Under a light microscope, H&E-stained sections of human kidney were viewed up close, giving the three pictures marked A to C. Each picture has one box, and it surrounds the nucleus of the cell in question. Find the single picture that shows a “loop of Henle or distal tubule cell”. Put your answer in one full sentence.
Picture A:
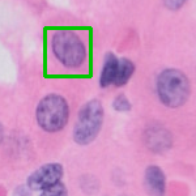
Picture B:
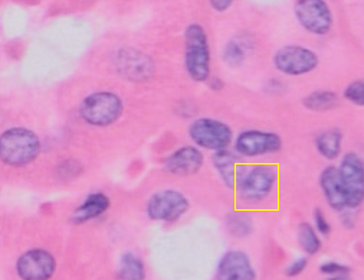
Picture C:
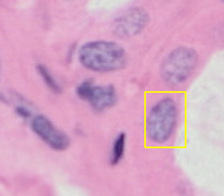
Picture C shows the “loop of Henle or distal tubule cell”.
